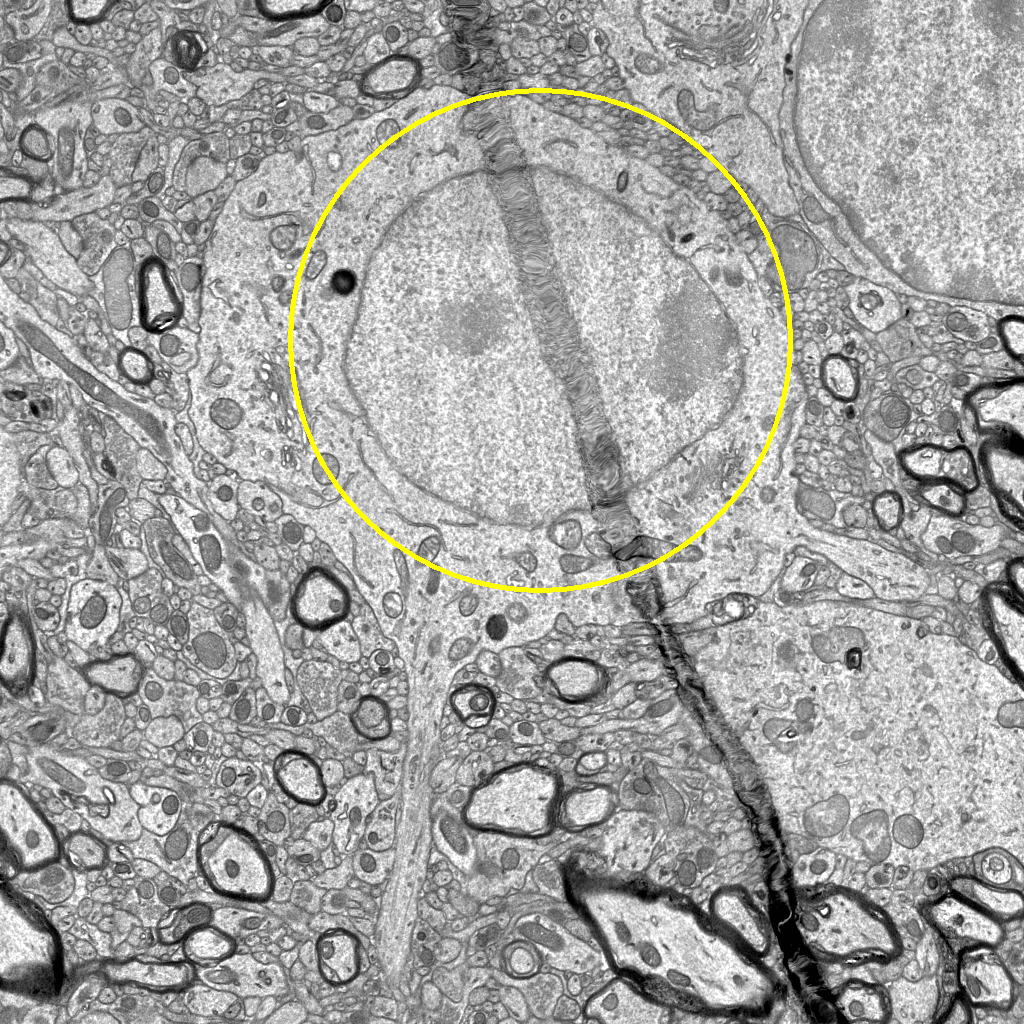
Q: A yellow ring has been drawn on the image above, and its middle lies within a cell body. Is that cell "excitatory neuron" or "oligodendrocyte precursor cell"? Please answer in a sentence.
The ring's middle lies in the cell body of an excitatory neuron.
